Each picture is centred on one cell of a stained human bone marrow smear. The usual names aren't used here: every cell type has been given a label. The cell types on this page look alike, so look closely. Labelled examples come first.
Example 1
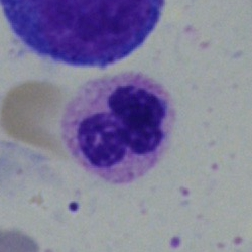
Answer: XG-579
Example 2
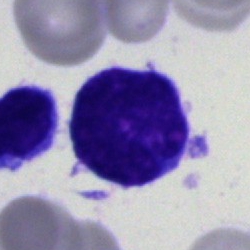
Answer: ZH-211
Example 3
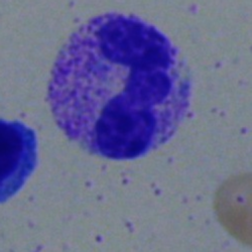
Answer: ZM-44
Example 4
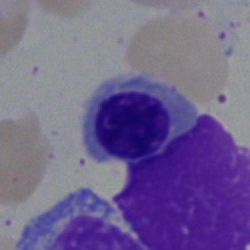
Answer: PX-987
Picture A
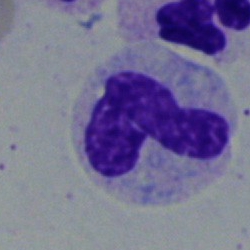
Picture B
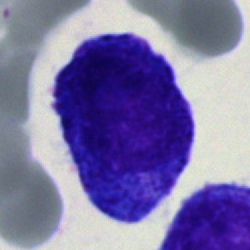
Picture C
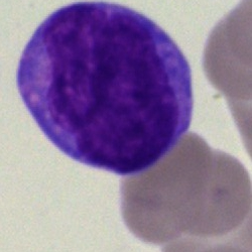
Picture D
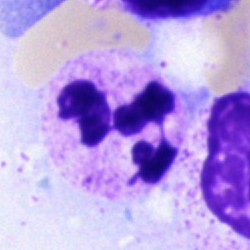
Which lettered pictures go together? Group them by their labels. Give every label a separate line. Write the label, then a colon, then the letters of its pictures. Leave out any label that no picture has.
XG-579: D
ZH-211: B, C
ZM-44: A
